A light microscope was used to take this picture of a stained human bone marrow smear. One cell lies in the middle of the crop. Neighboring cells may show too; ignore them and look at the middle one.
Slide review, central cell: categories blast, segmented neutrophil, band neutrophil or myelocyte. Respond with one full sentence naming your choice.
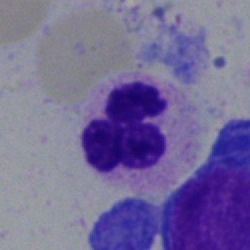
Present in the middle of the crop is a segmented neutrophil.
